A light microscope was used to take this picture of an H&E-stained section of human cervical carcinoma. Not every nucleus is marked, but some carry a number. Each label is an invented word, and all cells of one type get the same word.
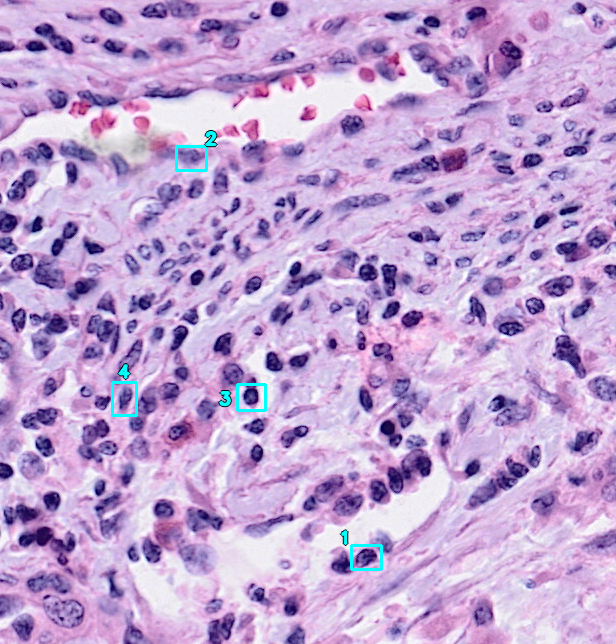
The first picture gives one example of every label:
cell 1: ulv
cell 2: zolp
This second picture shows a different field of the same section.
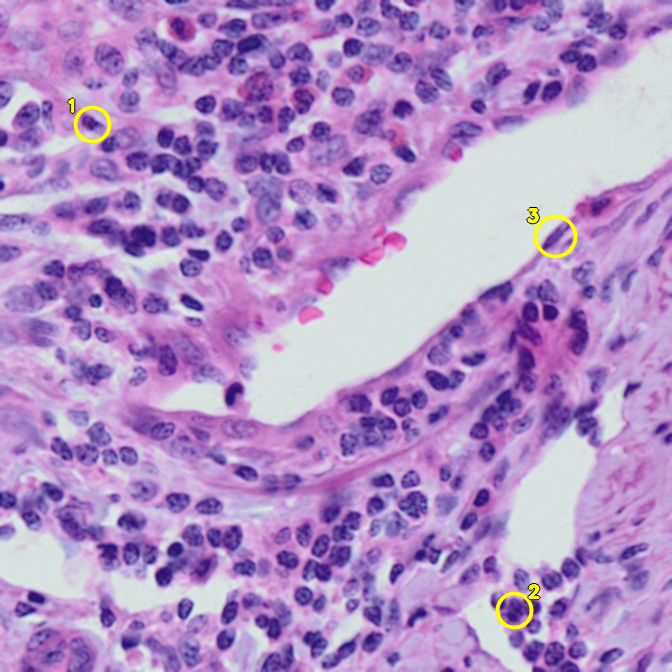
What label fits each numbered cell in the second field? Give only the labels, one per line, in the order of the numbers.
ulv
ulv
zolp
